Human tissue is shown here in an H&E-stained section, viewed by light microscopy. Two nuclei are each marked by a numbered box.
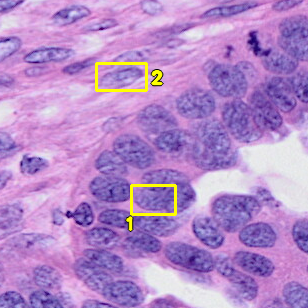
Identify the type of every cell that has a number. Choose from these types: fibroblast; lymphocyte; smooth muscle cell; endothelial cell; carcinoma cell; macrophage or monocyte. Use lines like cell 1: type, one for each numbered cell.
cell 1: carcinoma cell
cell 2: fibroblast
